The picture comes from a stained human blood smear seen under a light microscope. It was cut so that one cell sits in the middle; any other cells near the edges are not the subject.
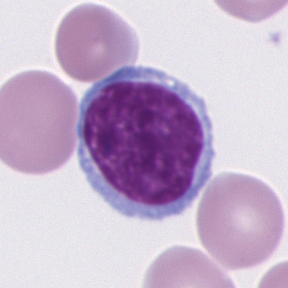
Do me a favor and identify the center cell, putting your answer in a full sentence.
The cell at the heart of this crop is a lymphocyte.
